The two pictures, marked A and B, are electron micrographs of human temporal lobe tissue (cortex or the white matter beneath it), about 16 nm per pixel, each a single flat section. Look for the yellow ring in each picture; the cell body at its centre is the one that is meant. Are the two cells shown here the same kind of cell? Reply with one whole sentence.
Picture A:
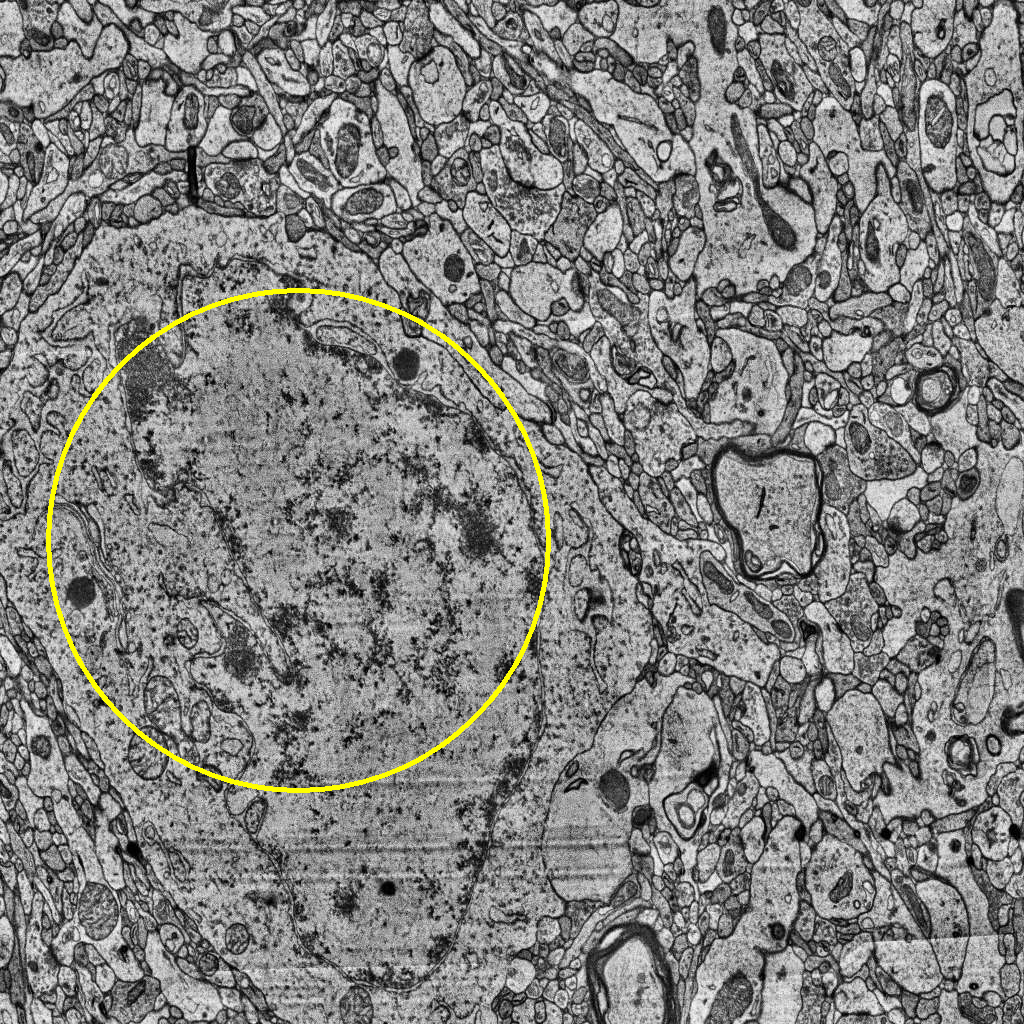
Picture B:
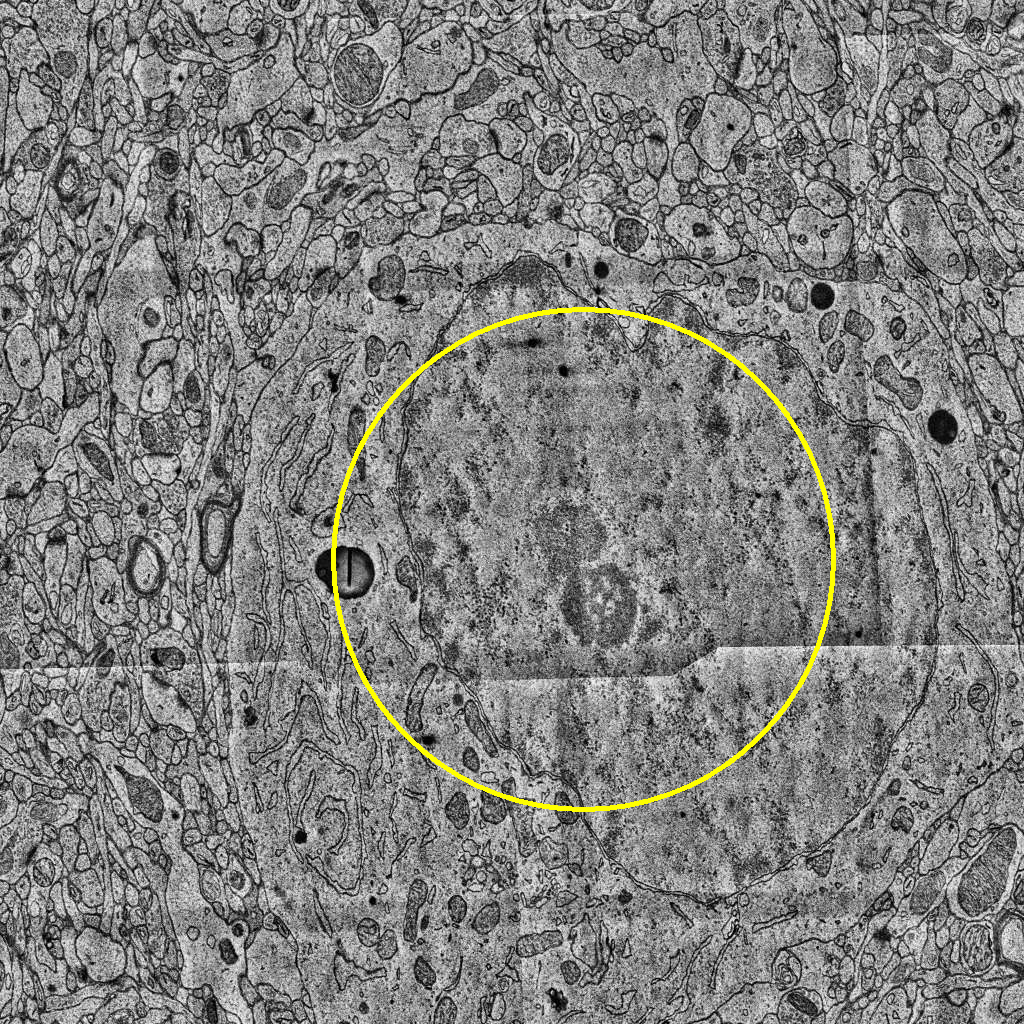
Yes, both are interneurons.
